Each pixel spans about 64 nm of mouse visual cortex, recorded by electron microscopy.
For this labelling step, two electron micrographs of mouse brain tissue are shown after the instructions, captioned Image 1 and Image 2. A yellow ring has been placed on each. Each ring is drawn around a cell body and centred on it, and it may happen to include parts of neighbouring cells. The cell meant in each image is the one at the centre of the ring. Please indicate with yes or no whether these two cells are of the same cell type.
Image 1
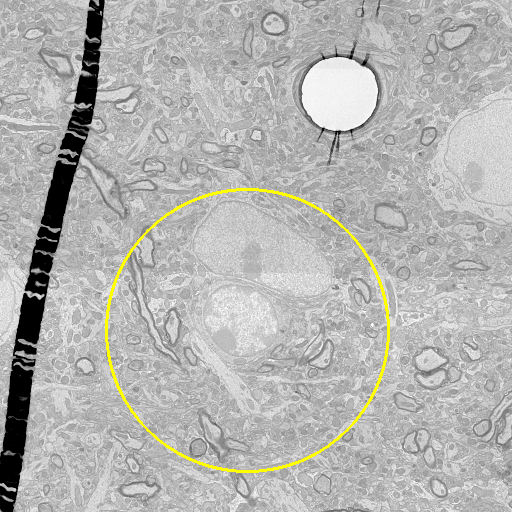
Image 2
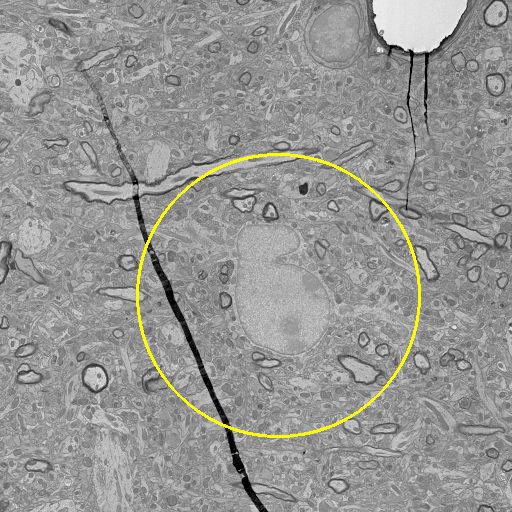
no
